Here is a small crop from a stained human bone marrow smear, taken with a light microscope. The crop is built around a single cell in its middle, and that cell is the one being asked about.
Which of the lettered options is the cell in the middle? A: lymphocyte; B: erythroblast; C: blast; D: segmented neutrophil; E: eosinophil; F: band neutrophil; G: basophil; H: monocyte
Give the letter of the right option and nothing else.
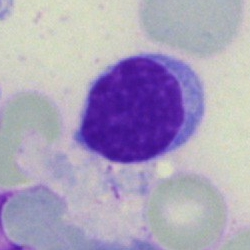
A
